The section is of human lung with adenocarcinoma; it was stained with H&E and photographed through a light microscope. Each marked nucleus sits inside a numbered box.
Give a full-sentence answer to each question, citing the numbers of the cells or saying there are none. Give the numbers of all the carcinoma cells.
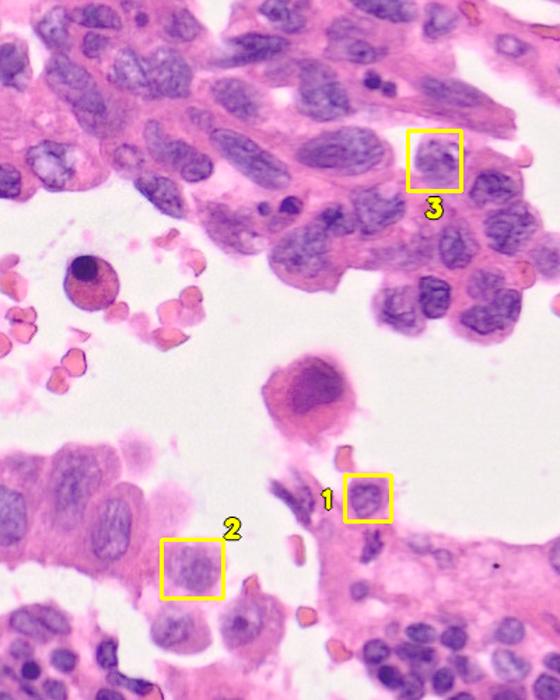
The cells referred to by the numbers 2 and 3 are carcinoma cells.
